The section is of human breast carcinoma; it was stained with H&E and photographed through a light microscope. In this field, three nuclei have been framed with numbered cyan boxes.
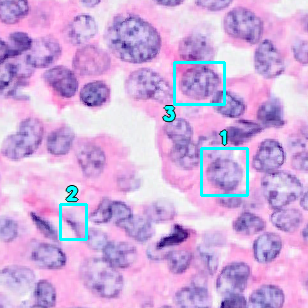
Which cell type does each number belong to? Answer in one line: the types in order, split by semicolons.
carcinoma cell; endothelial cell; carcinoma cell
